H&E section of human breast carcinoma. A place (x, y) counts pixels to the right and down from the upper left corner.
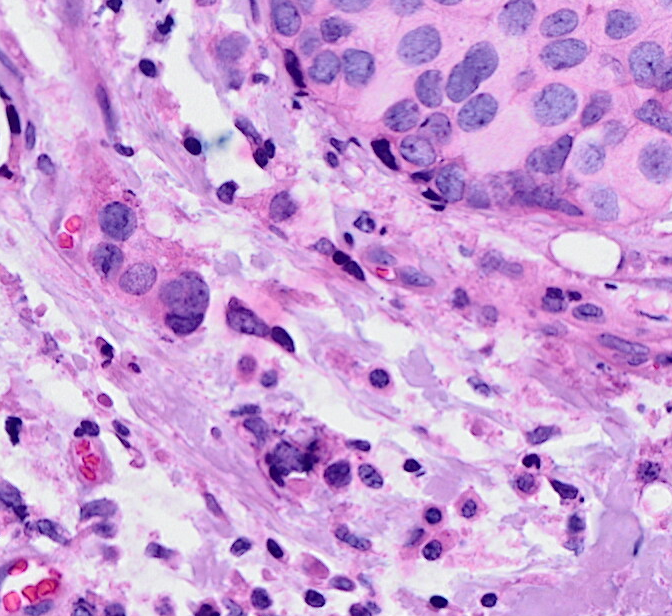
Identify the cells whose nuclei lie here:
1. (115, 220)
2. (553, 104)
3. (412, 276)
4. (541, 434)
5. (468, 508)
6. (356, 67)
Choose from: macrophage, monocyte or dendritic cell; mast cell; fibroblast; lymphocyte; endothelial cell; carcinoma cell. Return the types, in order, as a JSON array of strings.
["carcinoma cell", "carcinoma cell", "endothelial cell", "fibroblast", "mast cell", "carcinoma cell"]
